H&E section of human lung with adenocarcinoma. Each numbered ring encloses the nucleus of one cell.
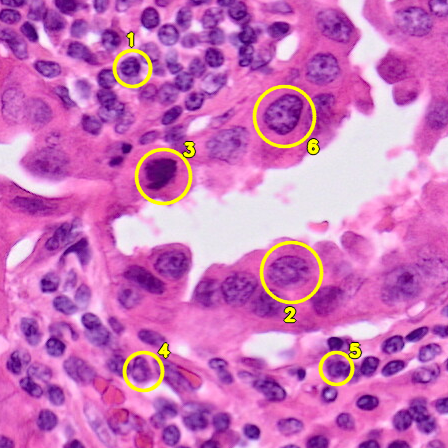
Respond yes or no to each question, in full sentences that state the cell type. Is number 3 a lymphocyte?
No, it is a carcinoma cell, not a lymphocyte, at number 3.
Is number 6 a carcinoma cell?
Yes, the marked cell number 6 is a carcinoma cell.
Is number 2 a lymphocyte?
No, cell 2 is not a lymphocyte; a carcinoma cell is the correct identification.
